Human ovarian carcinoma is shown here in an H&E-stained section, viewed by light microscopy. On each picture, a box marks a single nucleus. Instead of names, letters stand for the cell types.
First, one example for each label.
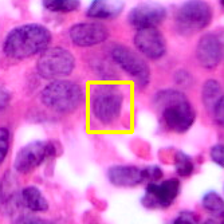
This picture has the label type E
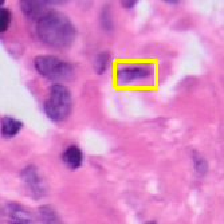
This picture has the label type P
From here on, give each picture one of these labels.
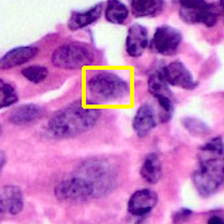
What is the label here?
type E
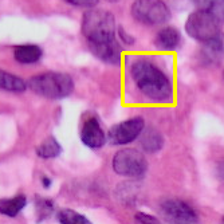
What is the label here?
type E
